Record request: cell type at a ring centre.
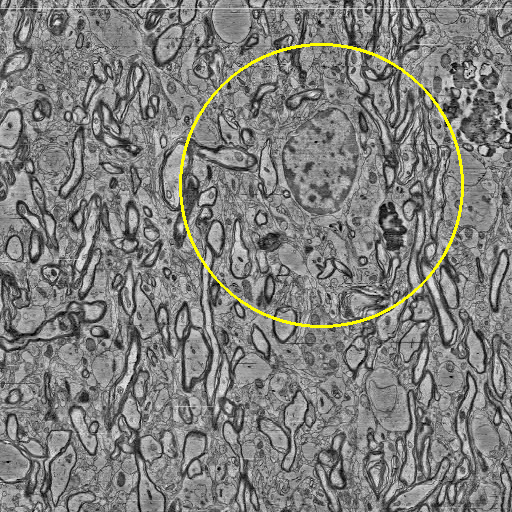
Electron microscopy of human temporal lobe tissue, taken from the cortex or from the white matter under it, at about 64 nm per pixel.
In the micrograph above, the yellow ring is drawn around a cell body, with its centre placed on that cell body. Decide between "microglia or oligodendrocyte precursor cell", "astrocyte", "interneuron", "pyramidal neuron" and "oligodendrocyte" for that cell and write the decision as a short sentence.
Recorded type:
The cell centred in the yellow ring is a microglial cell or oligodendrocyte precursor cell.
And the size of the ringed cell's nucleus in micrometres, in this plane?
About 7 by 5 micrometers for the nucleus, in this plane.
